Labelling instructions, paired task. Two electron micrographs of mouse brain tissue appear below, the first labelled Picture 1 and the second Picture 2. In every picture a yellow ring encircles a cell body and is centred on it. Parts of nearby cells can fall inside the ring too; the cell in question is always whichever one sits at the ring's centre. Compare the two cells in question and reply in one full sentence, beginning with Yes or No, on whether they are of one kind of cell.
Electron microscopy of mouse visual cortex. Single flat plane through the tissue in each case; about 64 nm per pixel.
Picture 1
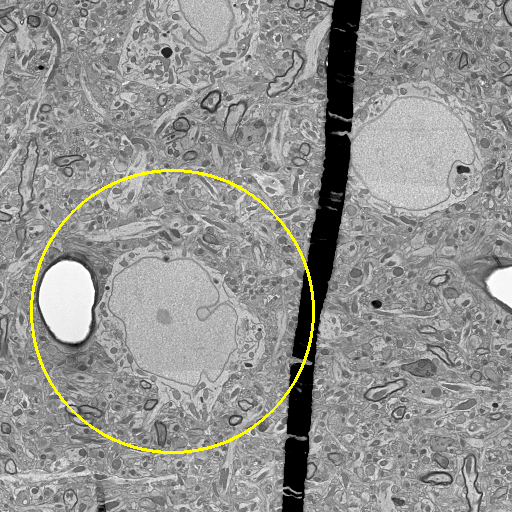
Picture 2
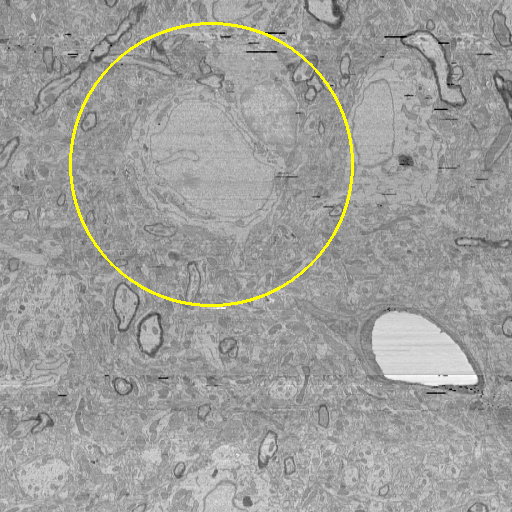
Yes, the two cells at the ring centres in Picture 1 and Picture 2 are of one kind.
